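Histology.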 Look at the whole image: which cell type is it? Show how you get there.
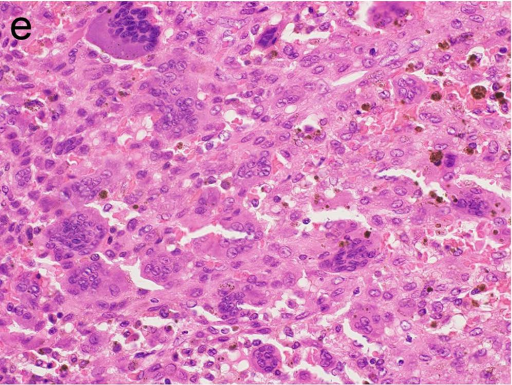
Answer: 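Osteoclast-like giant cells. Several large cells contain clusters of many dark nuclei. They are scattered among mononuclear and spindle cells.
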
